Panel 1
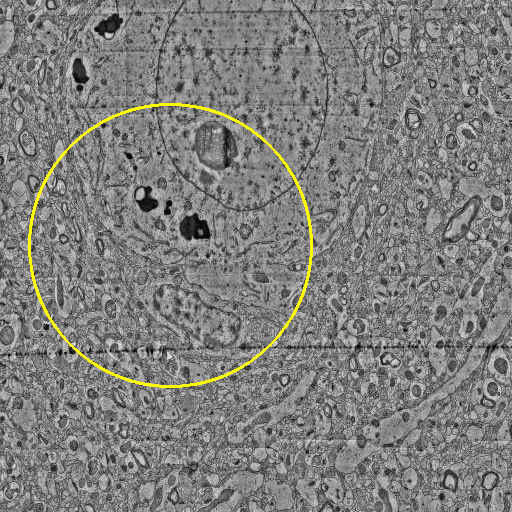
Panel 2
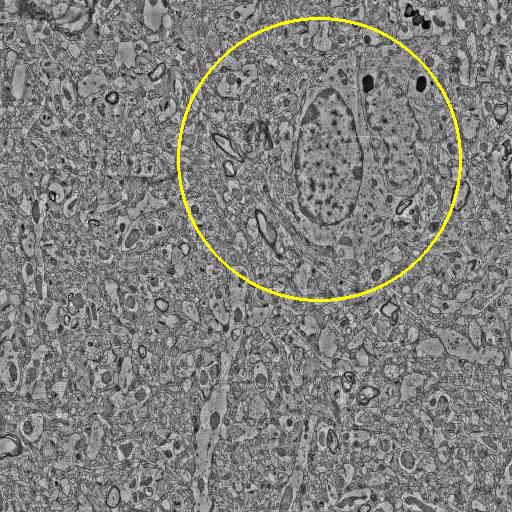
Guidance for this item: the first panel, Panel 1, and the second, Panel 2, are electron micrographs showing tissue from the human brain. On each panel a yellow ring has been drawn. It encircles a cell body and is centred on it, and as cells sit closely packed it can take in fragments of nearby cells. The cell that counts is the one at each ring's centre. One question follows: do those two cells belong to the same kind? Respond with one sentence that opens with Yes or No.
Yes, the cells at the ring centres in Panel 1 and Panel 2 are of one kind.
